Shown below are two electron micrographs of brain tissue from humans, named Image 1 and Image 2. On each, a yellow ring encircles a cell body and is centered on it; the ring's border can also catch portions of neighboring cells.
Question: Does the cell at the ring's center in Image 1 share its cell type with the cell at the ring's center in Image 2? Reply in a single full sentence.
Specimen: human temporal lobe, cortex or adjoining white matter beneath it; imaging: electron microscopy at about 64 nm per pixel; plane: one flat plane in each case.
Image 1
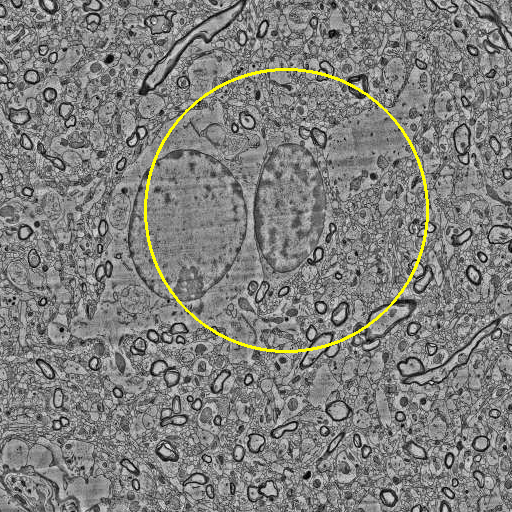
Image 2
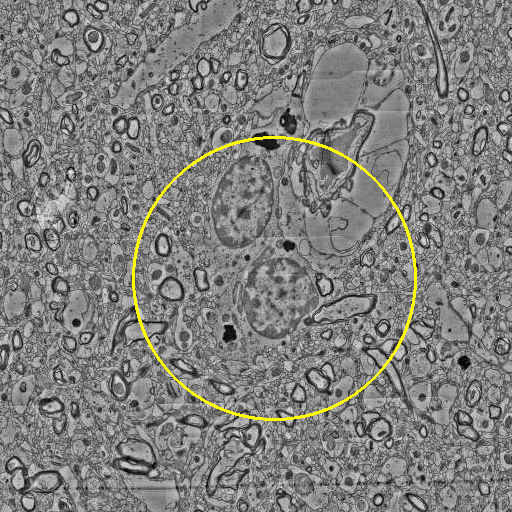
Yes, the two cells at the ring centers, in Image 1 and Image 2, share one cell type.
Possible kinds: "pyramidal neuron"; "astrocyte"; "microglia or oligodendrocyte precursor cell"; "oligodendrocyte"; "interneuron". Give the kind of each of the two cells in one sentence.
Each of the ringed cells, first and second, is an oligodendrocyte.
